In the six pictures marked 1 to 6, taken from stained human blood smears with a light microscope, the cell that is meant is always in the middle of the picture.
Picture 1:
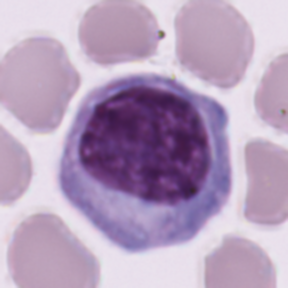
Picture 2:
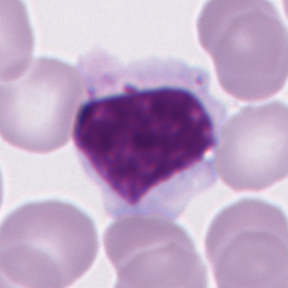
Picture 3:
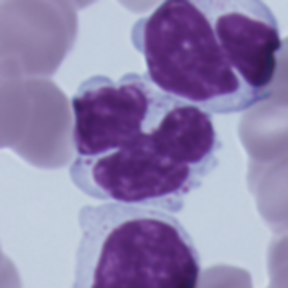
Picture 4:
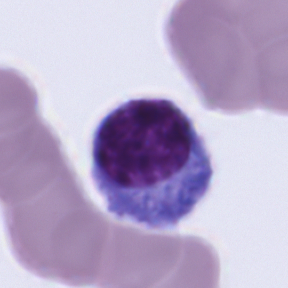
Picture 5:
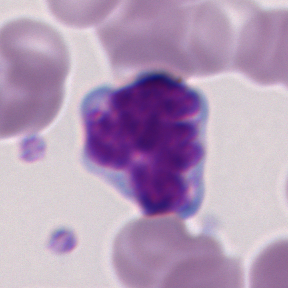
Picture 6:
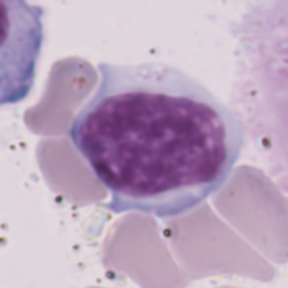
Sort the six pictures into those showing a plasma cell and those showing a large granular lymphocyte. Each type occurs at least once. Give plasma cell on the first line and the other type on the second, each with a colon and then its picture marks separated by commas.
plasma cell: 1, 4, 6
large granular lymphocyte: 2, 3, 5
